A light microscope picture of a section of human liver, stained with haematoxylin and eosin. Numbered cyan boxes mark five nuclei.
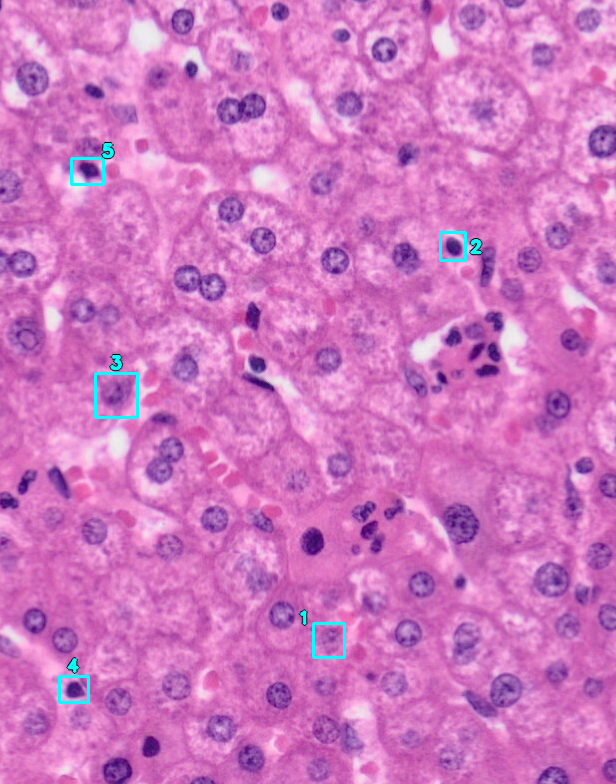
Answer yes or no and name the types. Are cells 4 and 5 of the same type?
Yes, the cells bearing numbers 4 and 5 are both lymphocytes.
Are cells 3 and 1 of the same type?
No, cell 3 is a Kupffer cell whereas cell 1 is a hepatocyte.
